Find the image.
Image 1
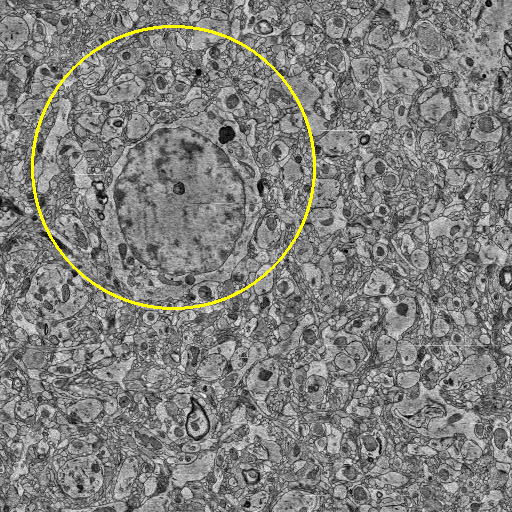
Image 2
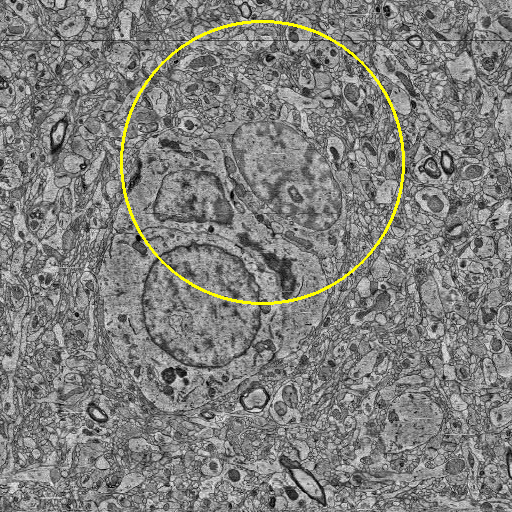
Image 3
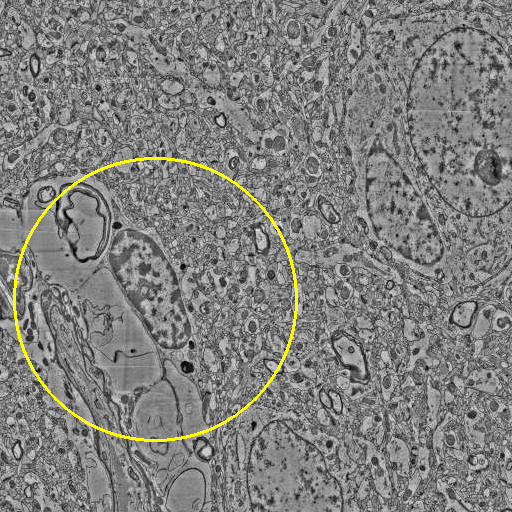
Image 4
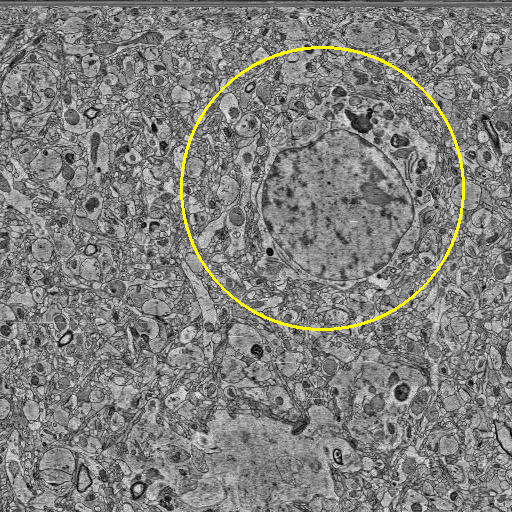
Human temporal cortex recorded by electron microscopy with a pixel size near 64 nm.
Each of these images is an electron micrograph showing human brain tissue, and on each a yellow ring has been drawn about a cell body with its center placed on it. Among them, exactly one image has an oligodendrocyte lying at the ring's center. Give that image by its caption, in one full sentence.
The ring in Image 2 is centered on the cell the question describes.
